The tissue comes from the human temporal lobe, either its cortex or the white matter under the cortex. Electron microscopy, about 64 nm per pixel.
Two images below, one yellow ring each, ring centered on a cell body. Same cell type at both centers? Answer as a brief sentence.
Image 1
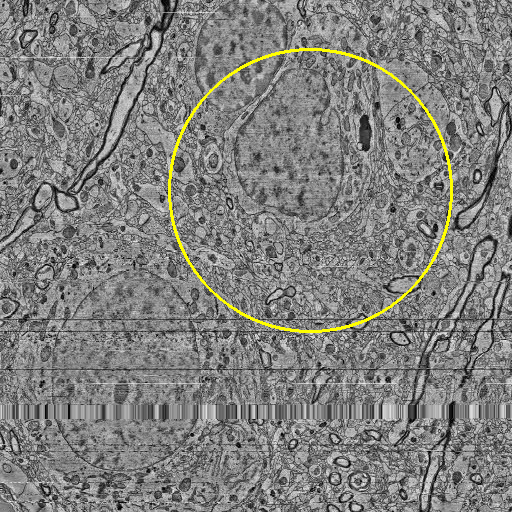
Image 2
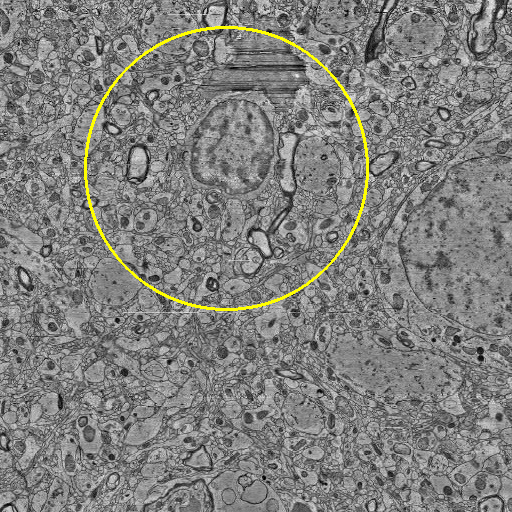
No, the cells are of two separate types.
